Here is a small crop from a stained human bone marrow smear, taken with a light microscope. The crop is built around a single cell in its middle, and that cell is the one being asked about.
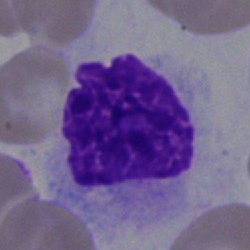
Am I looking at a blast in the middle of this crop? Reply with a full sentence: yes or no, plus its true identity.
No, the central cell is counted as a hairy cell instead of a blast.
